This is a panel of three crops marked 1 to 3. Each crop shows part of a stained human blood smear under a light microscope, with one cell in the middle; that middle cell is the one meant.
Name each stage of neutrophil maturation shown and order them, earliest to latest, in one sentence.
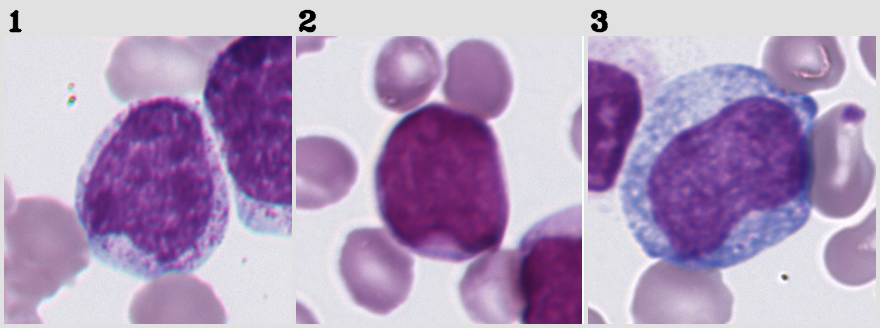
Least to most mature, the order stands as crop 2 (a myeloblast), crop 3 (a promyelocyte) and crop 1 (a myelocyte).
